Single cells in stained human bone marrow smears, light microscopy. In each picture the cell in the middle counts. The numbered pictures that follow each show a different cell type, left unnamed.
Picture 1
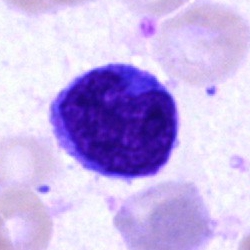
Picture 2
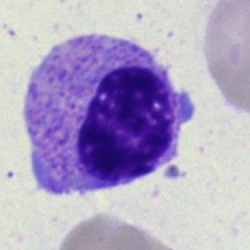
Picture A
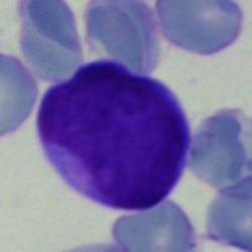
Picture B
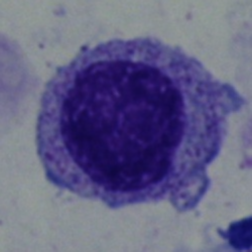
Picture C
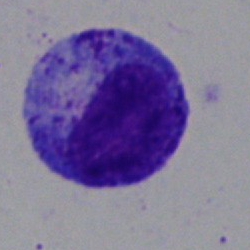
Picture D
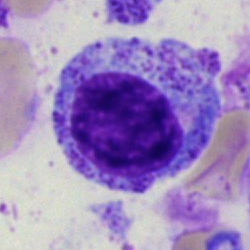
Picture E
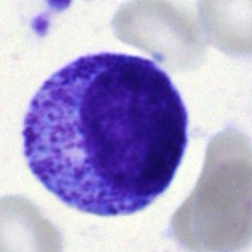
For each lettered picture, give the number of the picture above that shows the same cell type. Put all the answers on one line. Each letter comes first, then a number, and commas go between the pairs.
A 1, B 2, C 2, D 2, E 2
